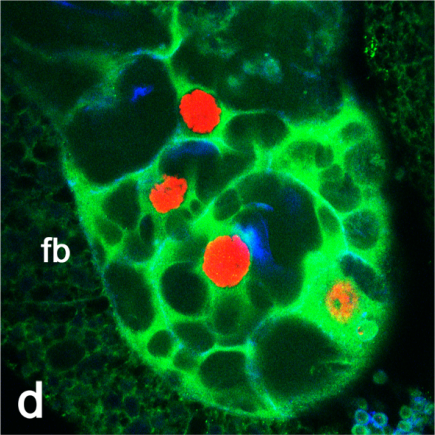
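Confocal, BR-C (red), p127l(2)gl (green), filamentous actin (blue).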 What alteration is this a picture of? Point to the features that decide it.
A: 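The cells are filled with many large dark round spaces of varying size. Bright green cytoplasm forms thin strands between the spaces.
Highly vacuolized.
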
